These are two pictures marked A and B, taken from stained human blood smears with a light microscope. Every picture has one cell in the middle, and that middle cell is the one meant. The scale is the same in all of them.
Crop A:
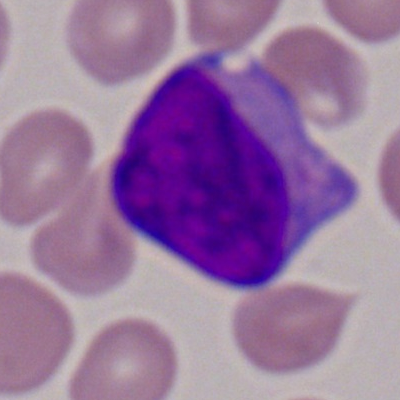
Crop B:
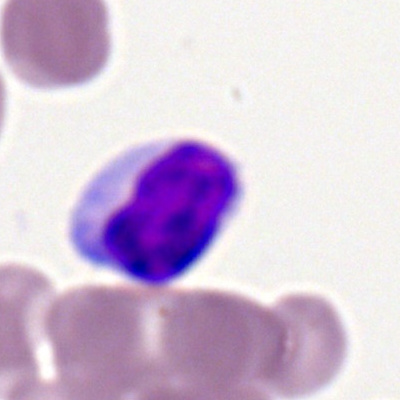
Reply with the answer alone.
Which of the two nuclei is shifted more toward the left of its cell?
A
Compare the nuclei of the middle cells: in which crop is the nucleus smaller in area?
B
